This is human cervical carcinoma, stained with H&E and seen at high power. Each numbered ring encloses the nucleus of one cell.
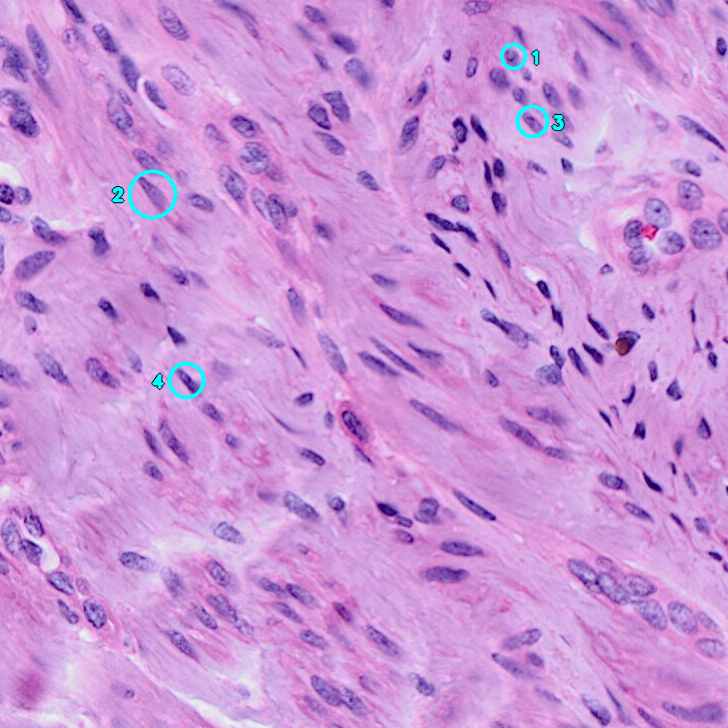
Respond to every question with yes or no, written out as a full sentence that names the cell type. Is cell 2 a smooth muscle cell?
Yes, in this section the cell numbered 2 is a smooth muscle cell.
